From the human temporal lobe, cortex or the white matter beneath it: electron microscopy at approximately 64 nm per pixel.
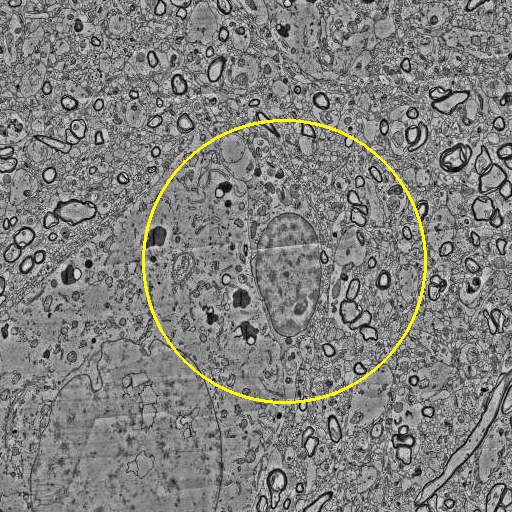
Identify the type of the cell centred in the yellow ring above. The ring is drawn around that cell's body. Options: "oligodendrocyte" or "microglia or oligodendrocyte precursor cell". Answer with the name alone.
oligodendrocyte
